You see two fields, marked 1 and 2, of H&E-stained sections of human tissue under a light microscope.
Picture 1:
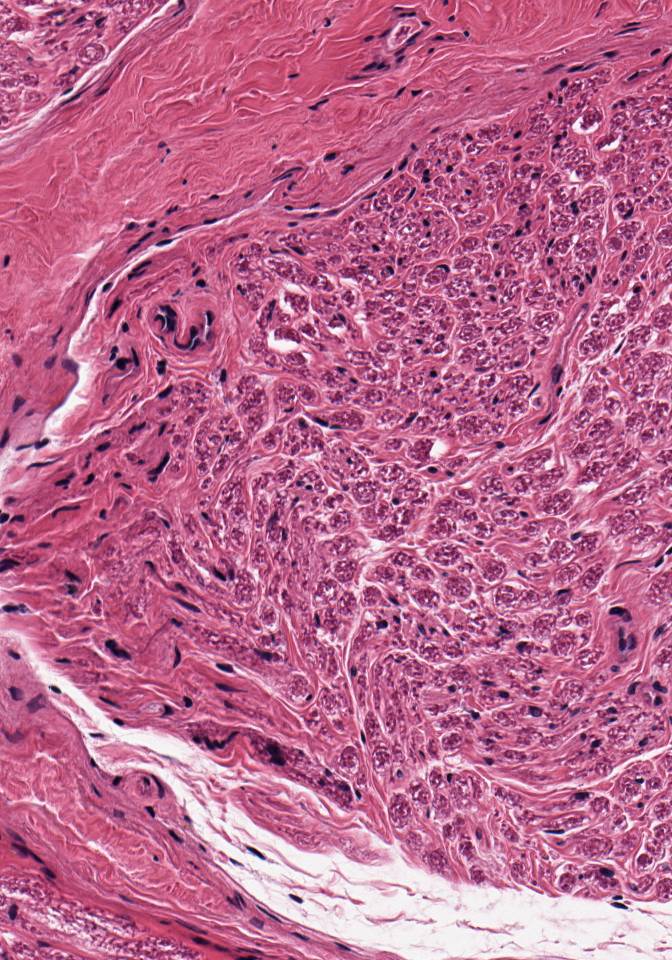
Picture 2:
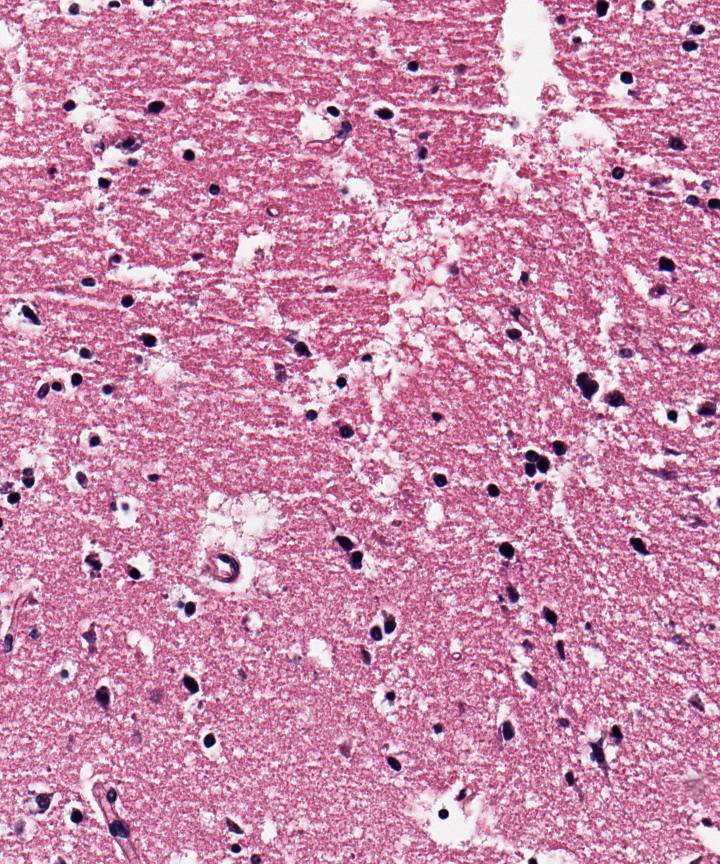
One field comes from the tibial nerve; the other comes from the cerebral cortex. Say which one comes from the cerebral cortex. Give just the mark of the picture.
2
